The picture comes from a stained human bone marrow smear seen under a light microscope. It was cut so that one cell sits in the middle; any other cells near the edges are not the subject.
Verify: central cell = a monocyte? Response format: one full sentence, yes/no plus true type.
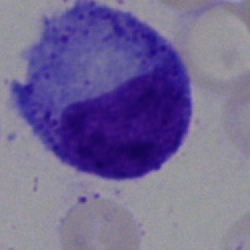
No, the cell placed at the center is a myelocyte rather than a monocyte.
